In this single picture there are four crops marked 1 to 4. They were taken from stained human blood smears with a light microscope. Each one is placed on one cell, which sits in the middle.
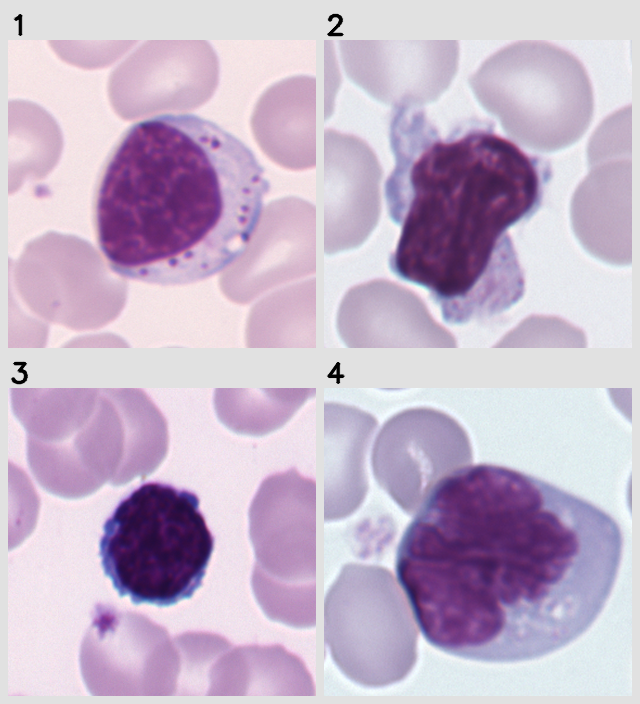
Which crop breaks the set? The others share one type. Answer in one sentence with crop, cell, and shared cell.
Crop 1 is singled out as a large granular lymphocyte, and all of the other crops show typical lymphocytes.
